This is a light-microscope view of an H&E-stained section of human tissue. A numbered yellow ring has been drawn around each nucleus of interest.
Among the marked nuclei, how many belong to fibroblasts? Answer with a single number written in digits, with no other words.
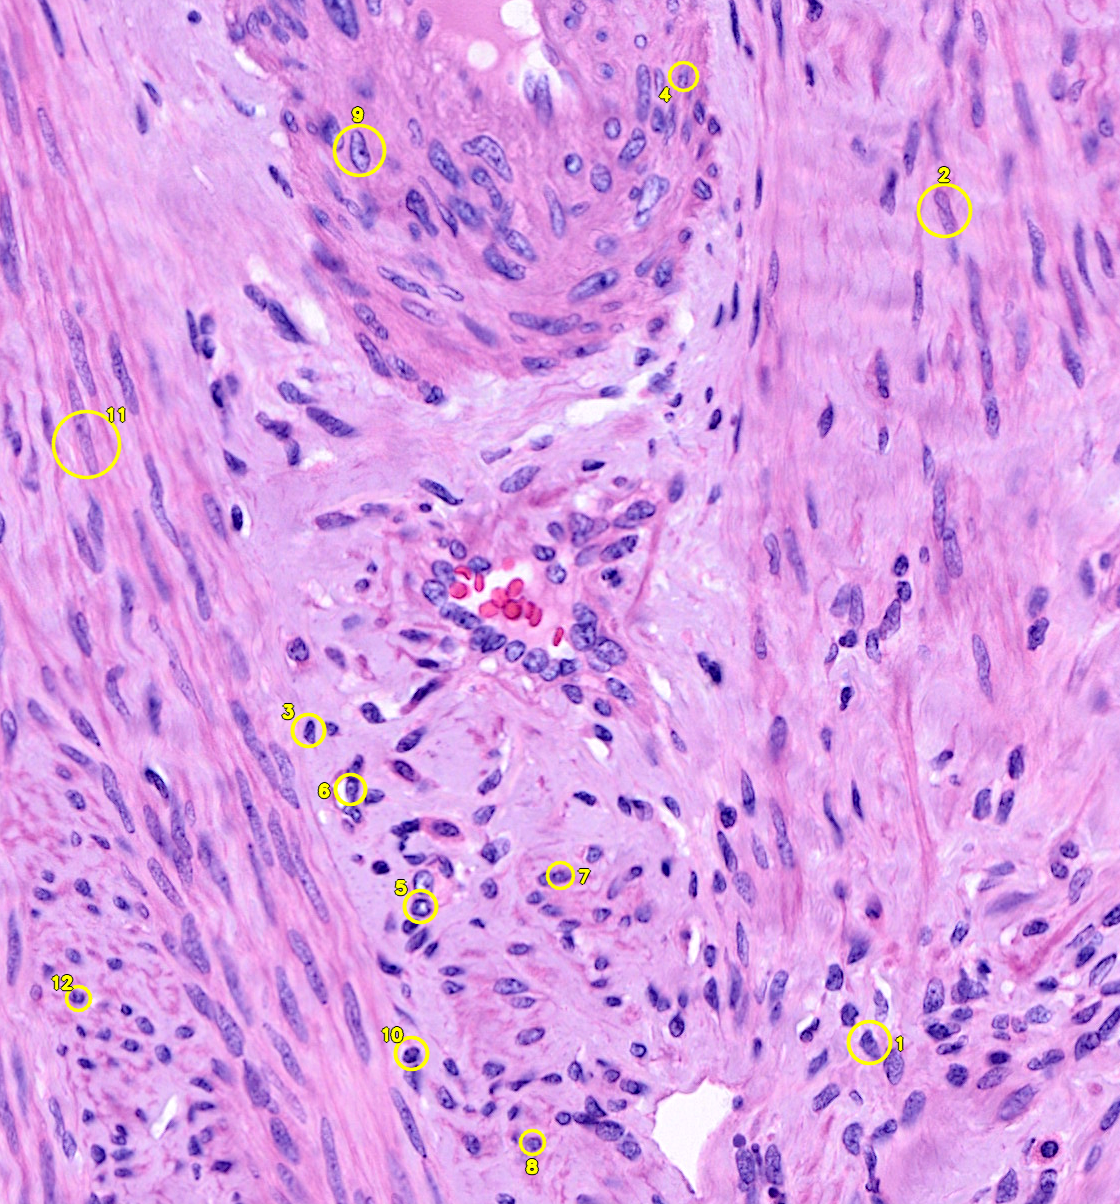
2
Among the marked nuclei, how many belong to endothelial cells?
2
